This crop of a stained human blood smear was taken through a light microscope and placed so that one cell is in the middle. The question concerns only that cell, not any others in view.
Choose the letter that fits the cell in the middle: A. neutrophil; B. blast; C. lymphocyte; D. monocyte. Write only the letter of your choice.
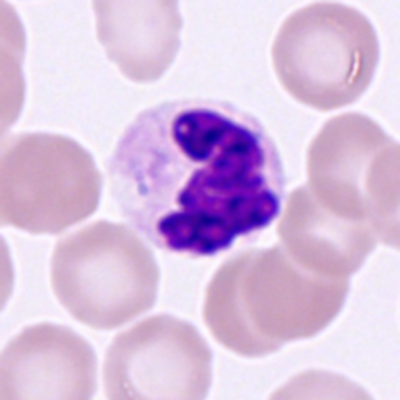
A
